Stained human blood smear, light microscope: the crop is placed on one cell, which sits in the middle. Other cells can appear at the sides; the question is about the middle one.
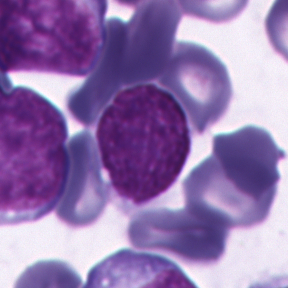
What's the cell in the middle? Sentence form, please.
Centred in the crop is a myeloblast.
